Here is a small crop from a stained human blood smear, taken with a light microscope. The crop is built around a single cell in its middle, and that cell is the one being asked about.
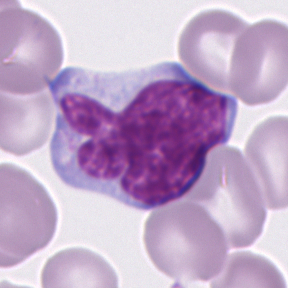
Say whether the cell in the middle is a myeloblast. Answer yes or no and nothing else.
yes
